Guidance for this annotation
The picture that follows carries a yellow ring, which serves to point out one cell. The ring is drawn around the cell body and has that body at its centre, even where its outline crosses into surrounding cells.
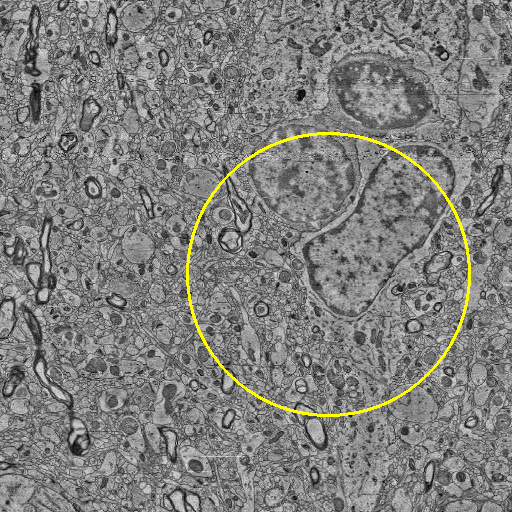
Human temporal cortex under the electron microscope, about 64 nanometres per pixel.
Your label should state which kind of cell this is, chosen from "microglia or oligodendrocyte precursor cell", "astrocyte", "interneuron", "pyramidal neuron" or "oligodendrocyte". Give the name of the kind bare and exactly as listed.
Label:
microglia or oligodendrocyte precursor cell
